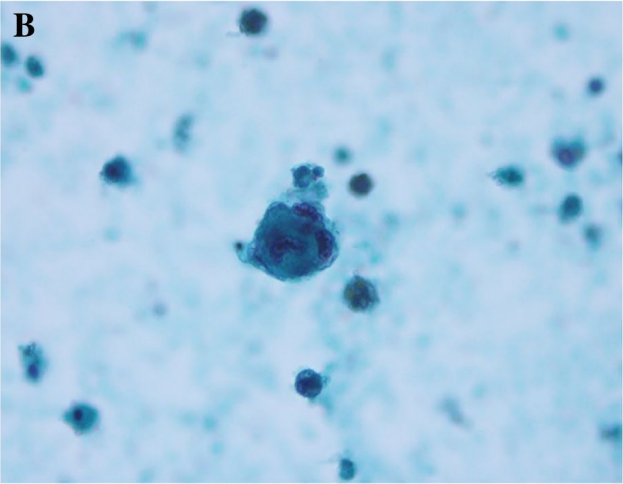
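This fluid preparation shows a small cluster of atypical cells at the centre, with scattered single cells around it. The cluster is a compact, three-dimensional group whose nuclei are large, dark and crowded, with irregular outlines. The surrounding single cells are small and round, with dark blue-green staining.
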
